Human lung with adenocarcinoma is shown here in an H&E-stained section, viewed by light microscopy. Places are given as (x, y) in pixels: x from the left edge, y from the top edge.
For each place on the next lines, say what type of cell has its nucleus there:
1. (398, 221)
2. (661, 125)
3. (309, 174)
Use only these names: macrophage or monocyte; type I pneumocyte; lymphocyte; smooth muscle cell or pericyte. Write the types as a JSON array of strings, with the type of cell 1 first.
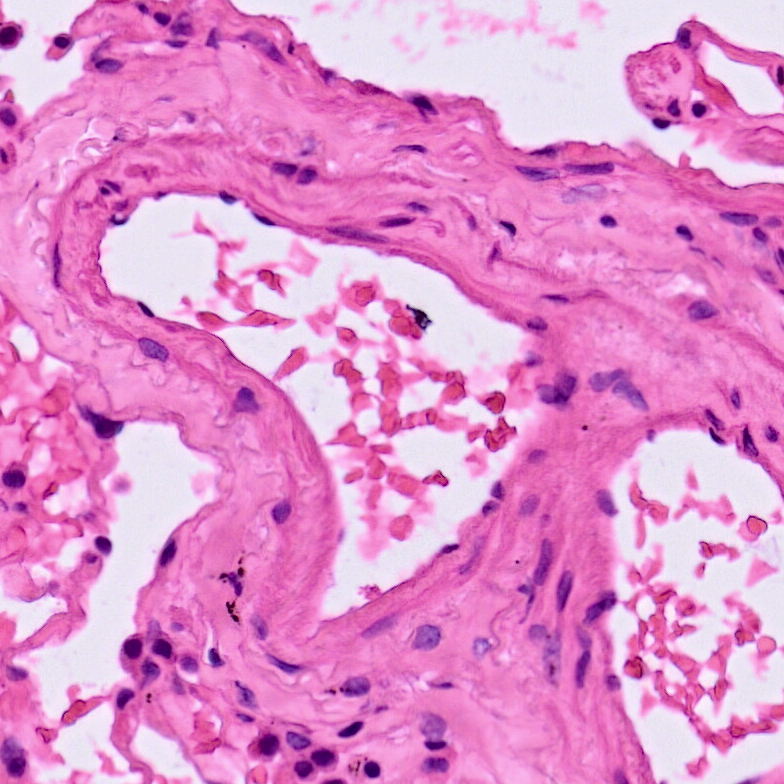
["smooth muscle cell or pericyte", "type I pneumocyte", "smooth muscle cell or pericyte"]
